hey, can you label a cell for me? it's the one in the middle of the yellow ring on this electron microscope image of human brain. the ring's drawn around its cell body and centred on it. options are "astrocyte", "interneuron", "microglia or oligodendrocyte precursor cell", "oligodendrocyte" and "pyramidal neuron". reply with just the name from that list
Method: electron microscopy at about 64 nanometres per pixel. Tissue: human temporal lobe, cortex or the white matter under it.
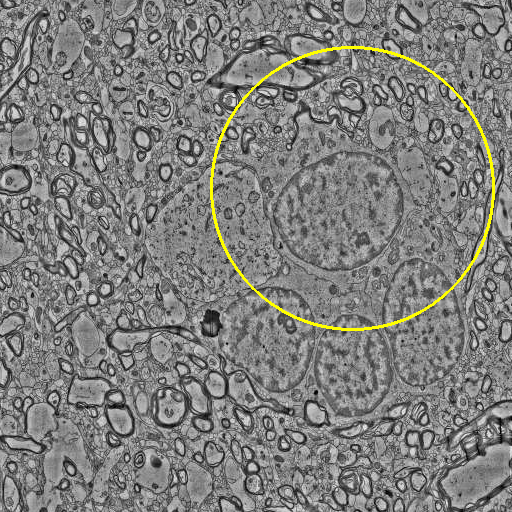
oligodendrocyte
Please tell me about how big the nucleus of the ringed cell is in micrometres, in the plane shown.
The nucleus is about 8 micrometres across in this plane.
